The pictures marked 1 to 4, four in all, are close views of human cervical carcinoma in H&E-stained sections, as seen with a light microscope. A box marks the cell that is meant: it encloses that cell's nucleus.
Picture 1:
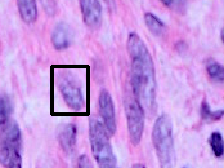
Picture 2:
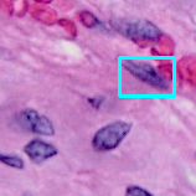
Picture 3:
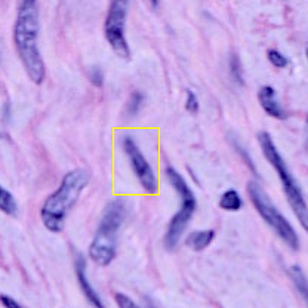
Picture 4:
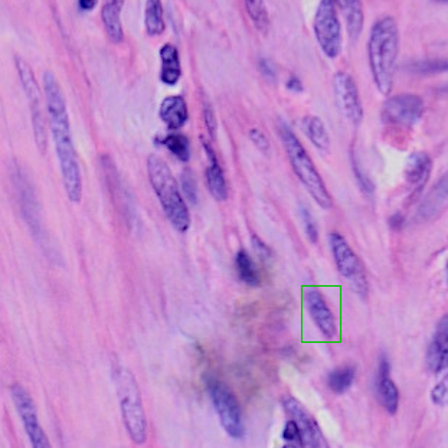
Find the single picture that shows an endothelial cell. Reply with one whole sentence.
The picture with the endothelial cell is 2.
